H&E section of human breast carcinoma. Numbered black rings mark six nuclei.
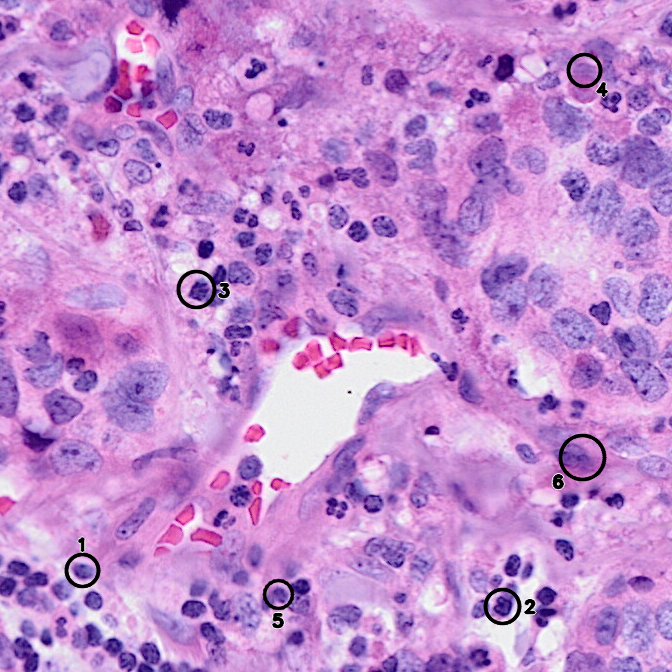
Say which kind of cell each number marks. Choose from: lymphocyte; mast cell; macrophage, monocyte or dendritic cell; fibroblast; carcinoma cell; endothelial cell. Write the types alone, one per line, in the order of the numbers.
lymphocyte
lymphocyte
lymphocyte
endothelial cell
lymphocyte
endothelial cell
